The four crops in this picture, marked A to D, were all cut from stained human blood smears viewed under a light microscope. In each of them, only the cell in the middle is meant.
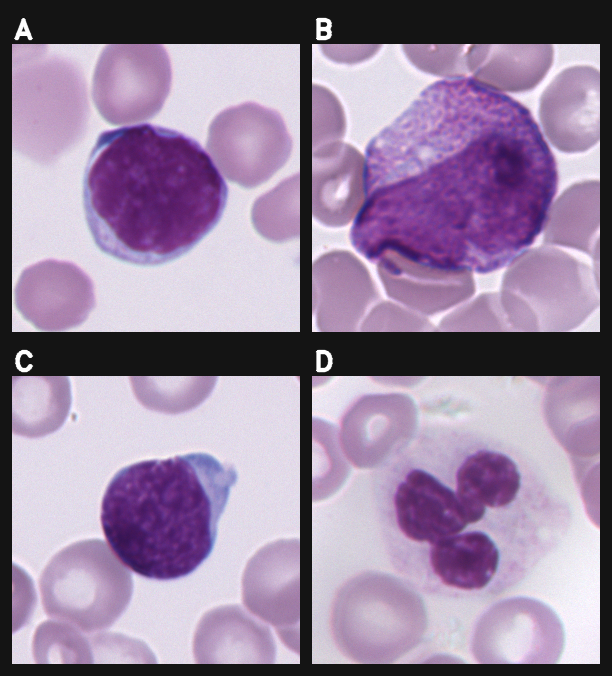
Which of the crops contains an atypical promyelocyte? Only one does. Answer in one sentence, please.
Crop B is where an atypical promyelocyte is shown.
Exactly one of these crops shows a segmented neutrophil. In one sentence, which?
Crop D is where a segmented neutrophil is shown.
